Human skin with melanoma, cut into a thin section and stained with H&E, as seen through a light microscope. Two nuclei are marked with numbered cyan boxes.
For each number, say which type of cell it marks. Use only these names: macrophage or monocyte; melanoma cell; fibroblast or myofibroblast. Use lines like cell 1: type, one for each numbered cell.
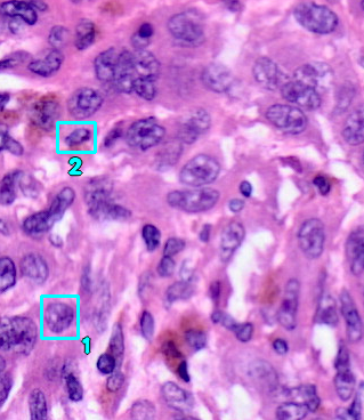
cell 1: melanoma cell
cell 2: macrophage or monocyte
